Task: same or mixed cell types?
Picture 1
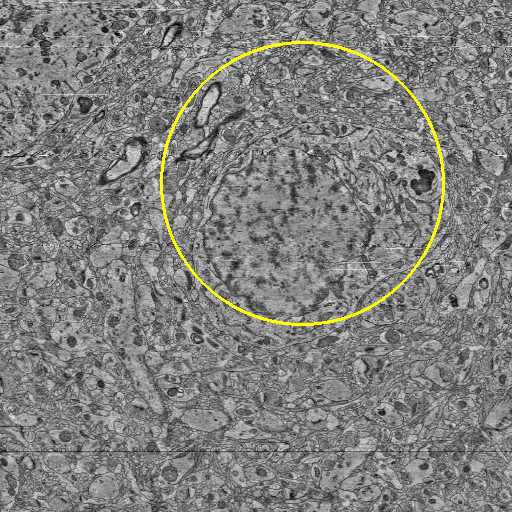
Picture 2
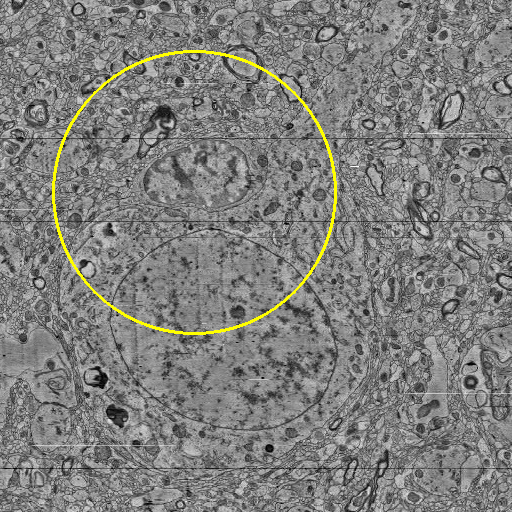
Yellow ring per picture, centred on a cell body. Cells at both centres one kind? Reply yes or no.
no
